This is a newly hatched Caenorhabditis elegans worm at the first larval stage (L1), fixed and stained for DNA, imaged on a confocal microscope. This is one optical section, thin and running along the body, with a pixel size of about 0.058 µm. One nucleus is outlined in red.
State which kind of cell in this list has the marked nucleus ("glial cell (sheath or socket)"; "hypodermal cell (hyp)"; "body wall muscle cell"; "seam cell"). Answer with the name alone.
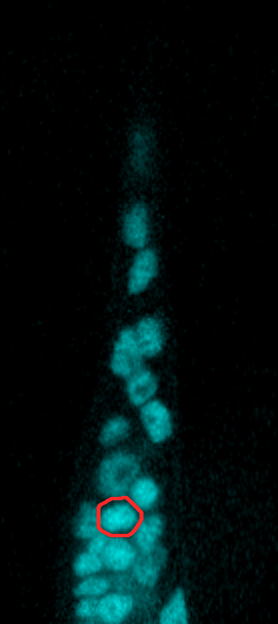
glial cell (sheath or socket)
